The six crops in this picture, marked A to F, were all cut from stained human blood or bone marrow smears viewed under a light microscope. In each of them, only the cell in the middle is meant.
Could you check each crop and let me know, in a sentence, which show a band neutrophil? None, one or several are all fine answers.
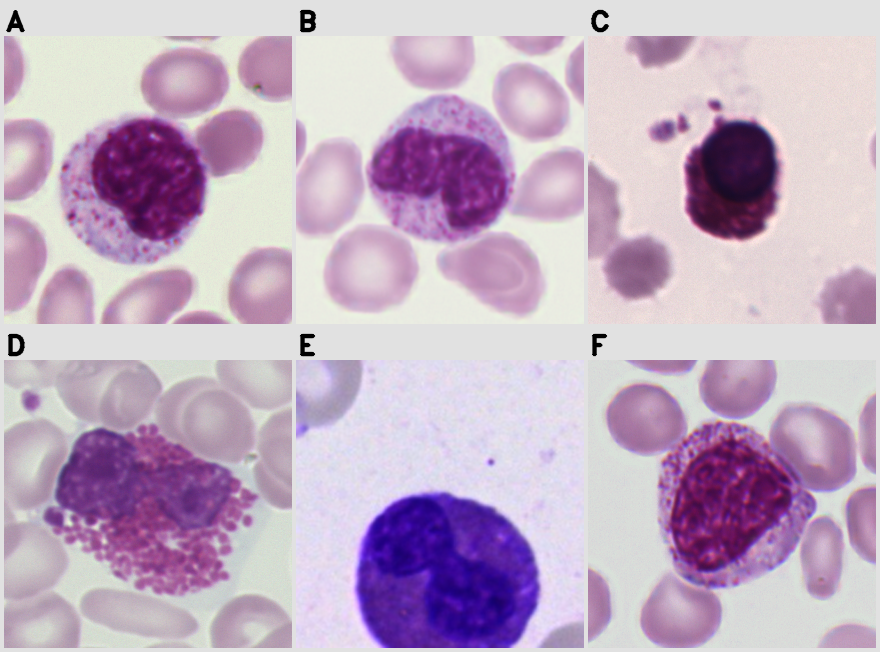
The right choice is crop B, the only crop with a band neutrophil.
